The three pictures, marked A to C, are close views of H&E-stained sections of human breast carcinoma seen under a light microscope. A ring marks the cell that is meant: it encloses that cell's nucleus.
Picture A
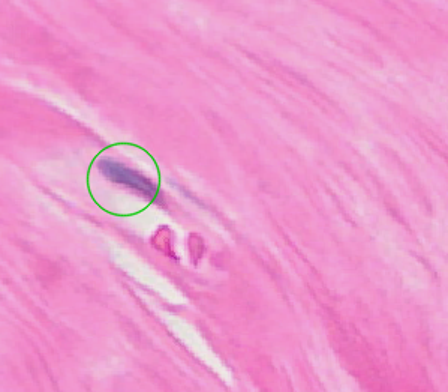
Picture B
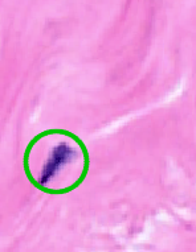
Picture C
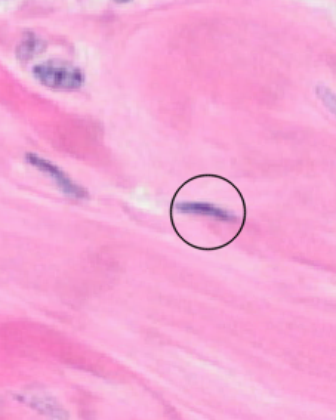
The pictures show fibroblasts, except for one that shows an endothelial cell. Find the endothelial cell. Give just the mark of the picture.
A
